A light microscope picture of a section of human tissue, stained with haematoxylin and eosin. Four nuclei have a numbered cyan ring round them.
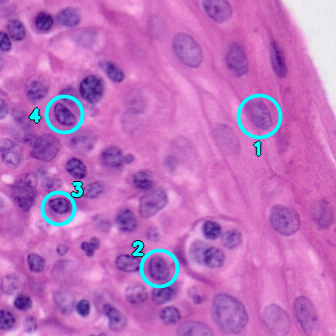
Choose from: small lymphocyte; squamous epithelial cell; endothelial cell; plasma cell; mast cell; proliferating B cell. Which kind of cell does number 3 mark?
plasma cell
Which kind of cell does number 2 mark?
plasma cell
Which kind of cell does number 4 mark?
plasma cell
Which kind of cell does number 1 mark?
squamous epithelial cell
